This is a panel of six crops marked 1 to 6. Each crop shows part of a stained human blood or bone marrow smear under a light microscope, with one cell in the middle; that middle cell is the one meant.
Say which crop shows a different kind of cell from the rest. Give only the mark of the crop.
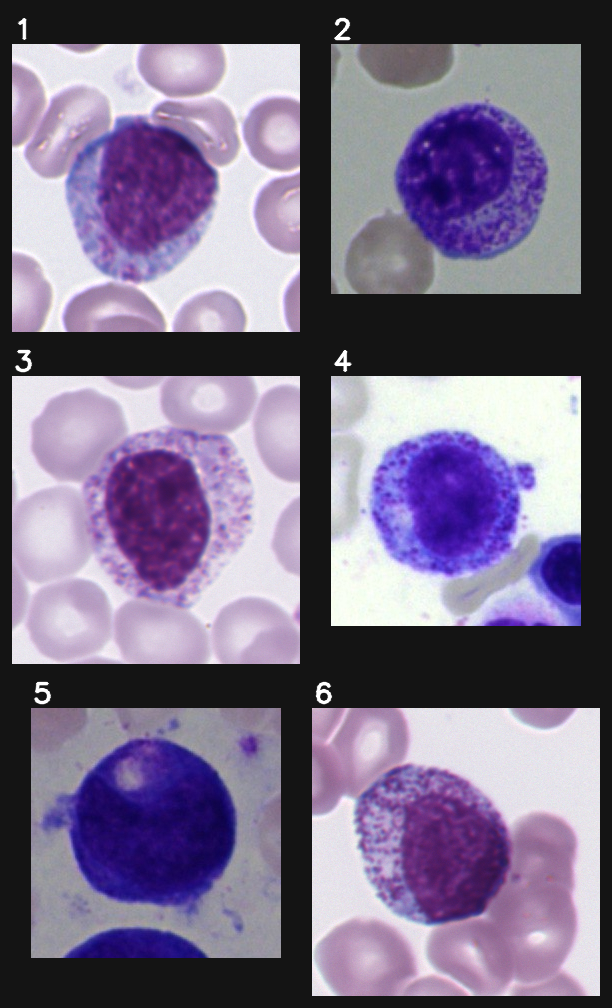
5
